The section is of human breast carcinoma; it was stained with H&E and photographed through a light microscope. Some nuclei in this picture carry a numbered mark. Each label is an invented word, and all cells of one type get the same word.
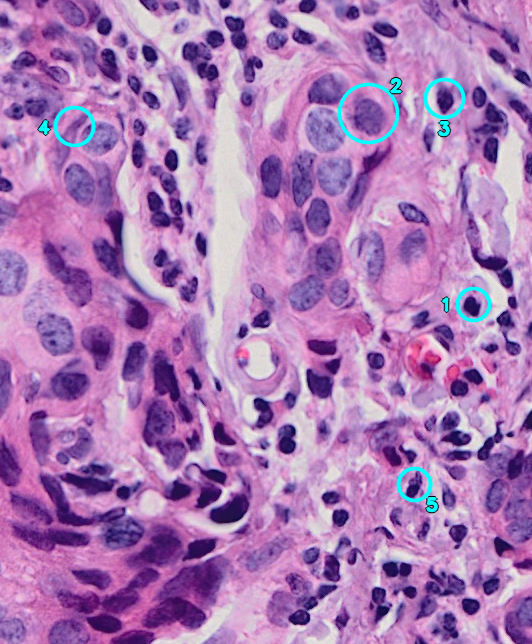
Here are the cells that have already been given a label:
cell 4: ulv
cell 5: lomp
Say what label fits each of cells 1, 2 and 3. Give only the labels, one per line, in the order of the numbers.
lomp
ulv
lomp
